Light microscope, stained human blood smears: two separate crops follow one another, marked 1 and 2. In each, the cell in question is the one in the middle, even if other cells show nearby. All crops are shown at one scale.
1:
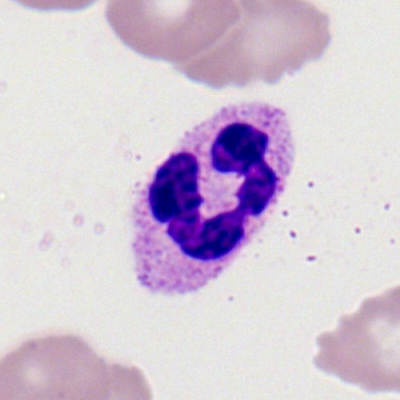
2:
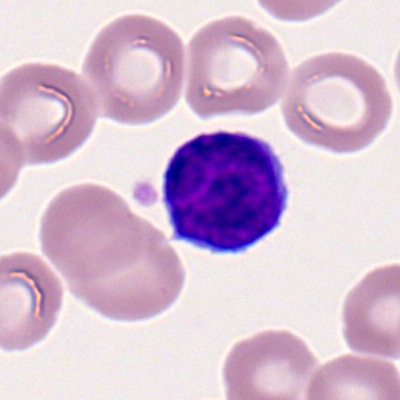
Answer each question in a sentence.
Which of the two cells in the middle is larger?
The cell in picture 1 is larger, with about 1.5 times the area of the one in picture 2.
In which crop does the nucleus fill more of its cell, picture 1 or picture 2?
It is the cell in picture 2 that is filled more by its nucleus.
